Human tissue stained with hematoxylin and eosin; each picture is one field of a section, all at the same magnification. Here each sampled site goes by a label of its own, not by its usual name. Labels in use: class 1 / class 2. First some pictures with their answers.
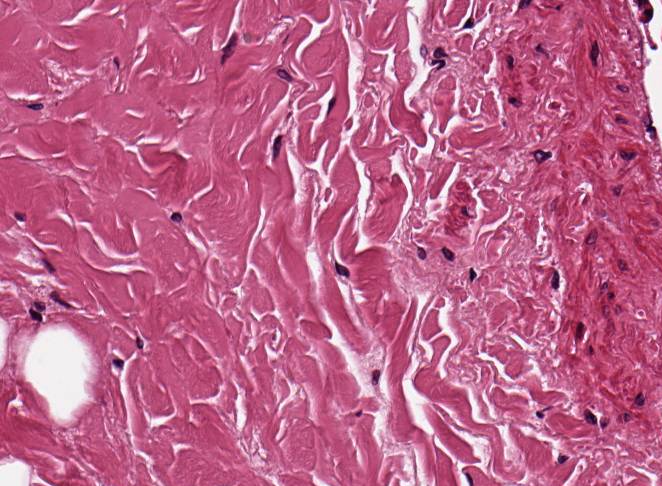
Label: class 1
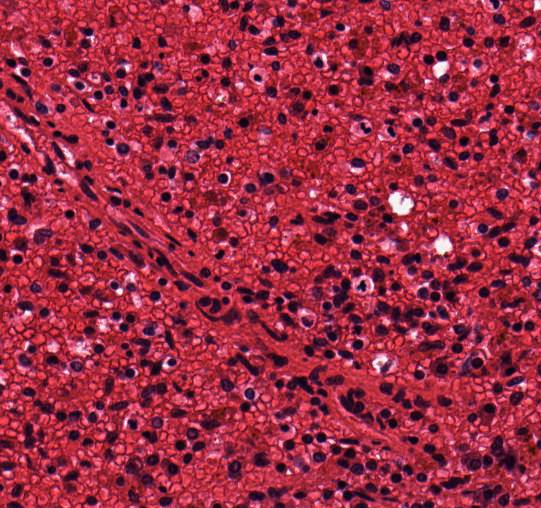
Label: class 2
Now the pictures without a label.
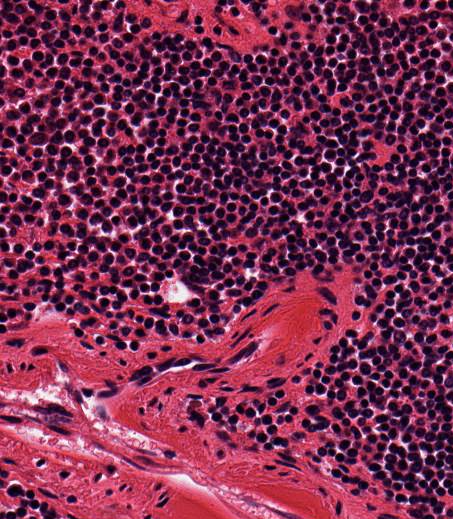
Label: class 2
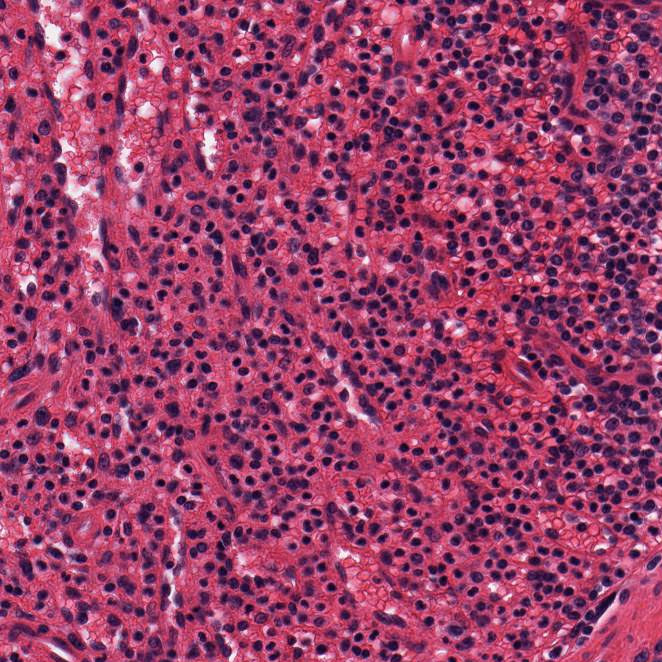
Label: class 2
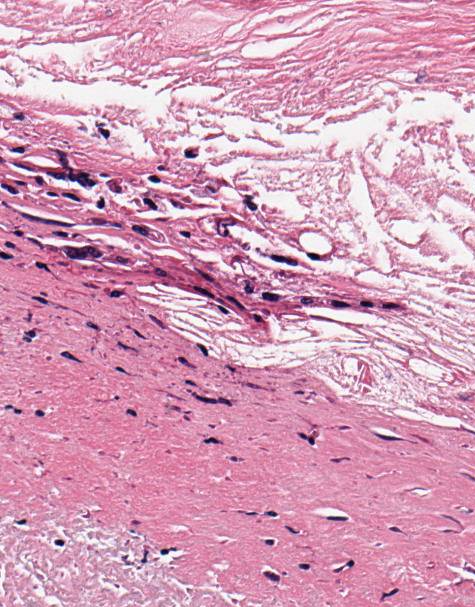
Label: class 1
